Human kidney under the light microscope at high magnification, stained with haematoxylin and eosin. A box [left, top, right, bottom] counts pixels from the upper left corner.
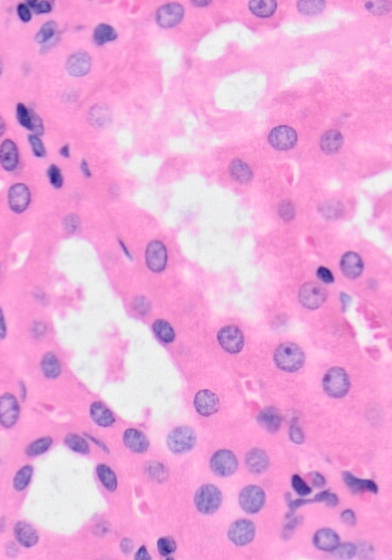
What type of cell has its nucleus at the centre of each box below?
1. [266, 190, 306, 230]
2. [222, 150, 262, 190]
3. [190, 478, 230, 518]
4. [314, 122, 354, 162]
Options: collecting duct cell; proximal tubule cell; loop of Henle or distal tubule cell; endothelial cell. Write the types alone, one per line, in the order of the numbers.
proximal tubule cell
proximal tubule cell
loop of Henle or distal tubule cell
proximal tubule cell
